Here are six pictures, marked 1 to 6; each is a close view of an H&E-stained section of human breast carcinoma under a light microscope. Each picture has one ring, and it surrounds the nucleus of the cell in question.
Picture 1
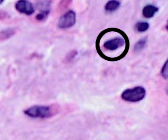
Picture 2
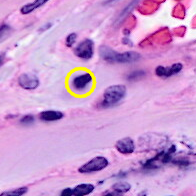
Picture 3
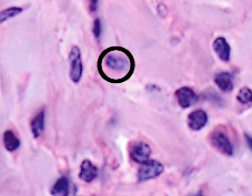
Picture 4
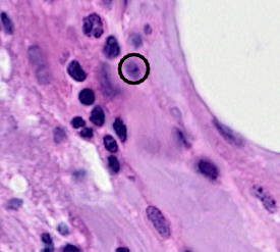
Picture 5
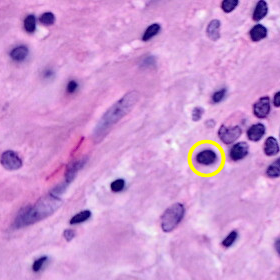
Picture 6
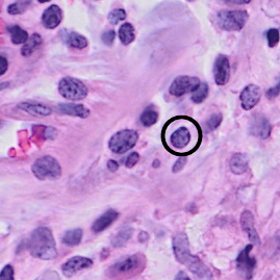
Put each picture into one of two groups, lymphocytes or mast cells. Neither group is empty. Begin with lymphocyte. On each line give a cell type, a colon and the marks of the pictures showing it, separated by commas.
lymphocyte: 1, 2, 5, 6
mast cell: 3, 4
